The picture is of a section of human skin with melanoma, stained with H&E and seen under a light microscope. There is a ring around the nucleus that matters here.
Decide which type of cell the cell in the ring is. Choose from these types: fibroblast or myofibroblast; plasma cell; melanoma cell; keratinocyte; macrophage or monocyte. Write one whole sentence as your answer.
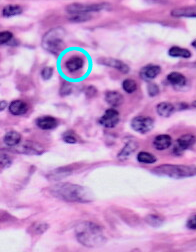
Right, so the cell in the ring is a plasma cell, to answer that.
